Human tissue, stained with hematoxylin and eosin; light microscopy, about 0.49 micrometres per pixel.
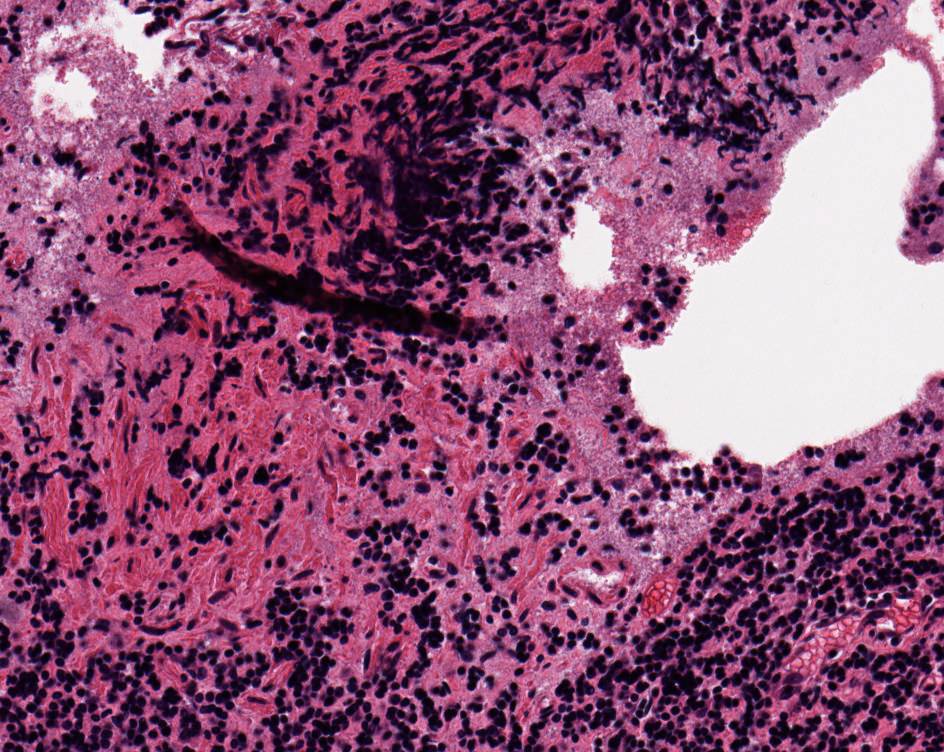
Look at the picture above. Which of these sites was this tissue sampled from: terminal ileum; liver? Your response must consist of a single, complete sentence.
The origin of this tissue is the terminal ileum.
